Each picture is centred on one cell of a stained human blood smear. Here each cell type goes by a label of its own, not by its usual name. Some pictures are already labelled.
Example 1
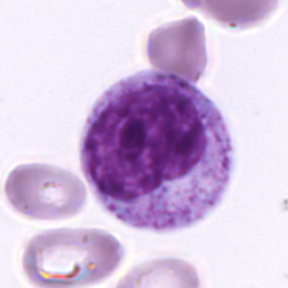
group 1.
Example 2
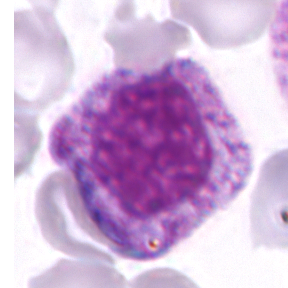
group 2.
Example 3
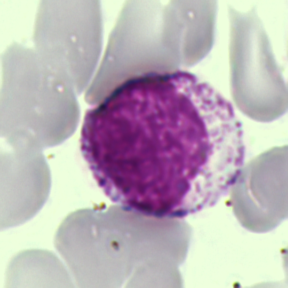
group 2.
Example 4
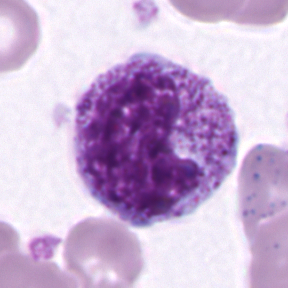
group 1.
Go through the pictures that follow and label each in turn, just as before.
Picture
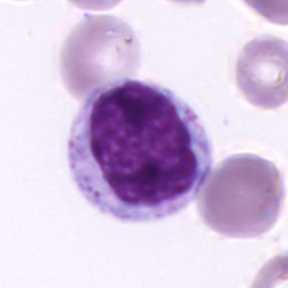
group 1.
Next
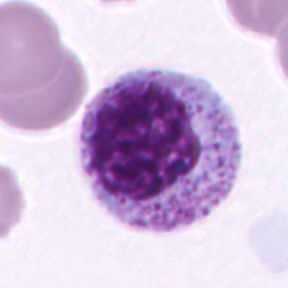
group 2.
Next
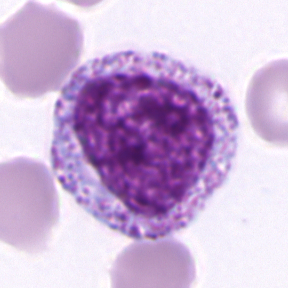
group 2.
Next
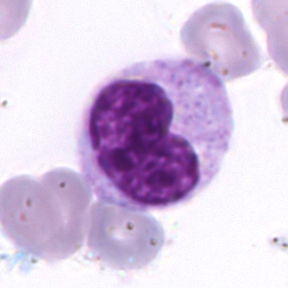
group 1.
